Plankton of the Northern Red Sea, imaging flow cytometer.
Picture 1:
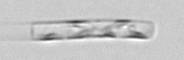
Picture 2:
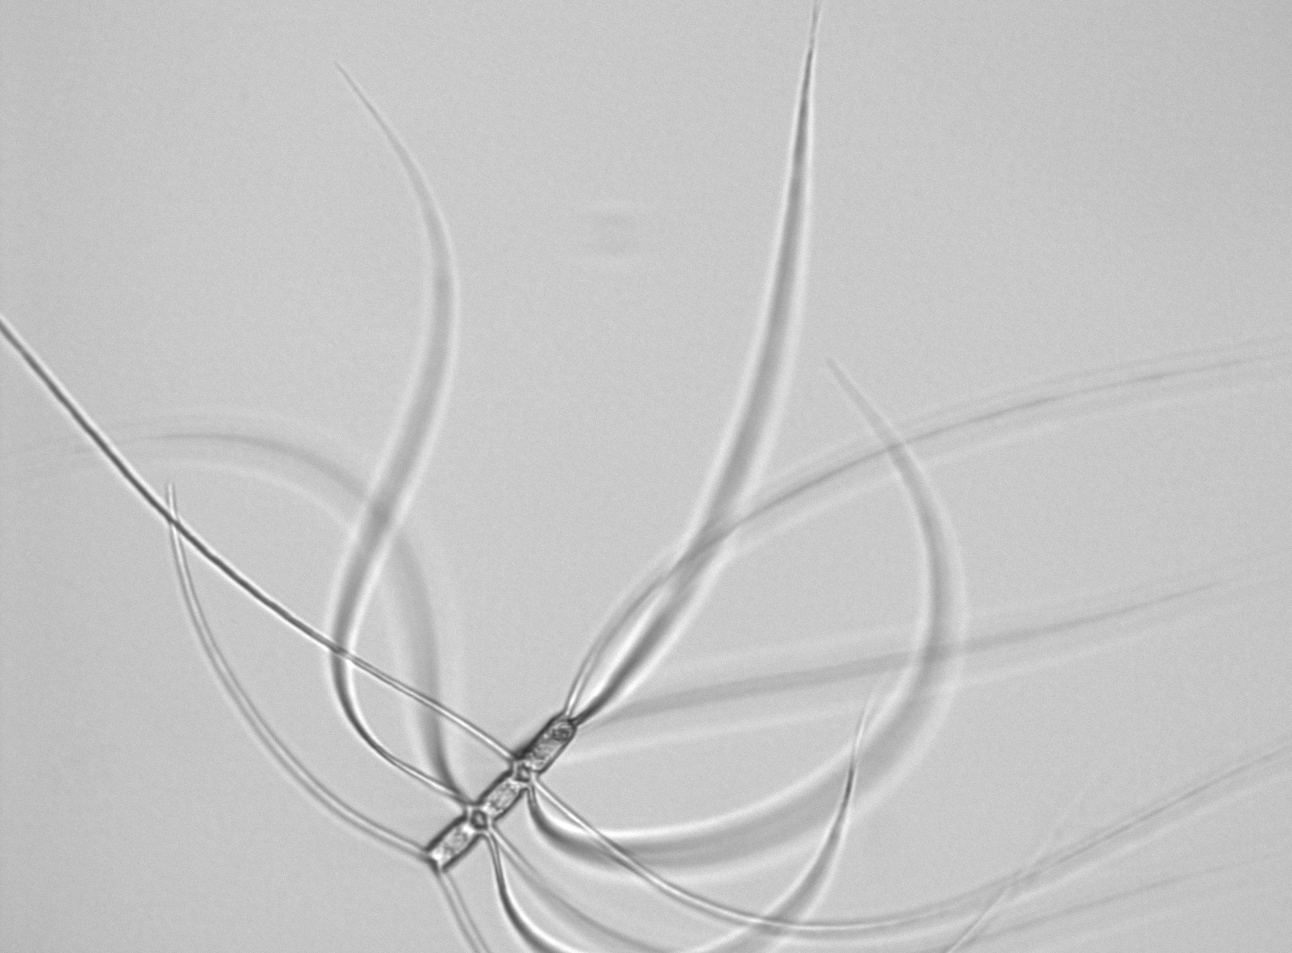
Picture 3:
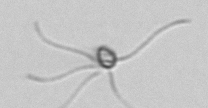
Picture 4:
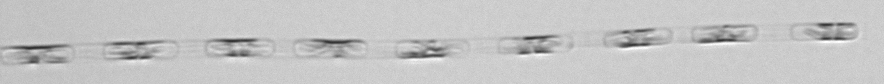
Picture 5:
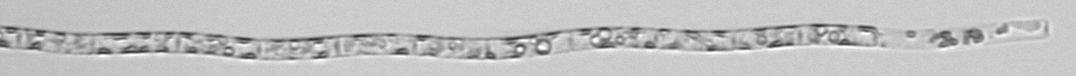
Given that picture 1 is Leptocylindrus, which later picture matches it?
5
